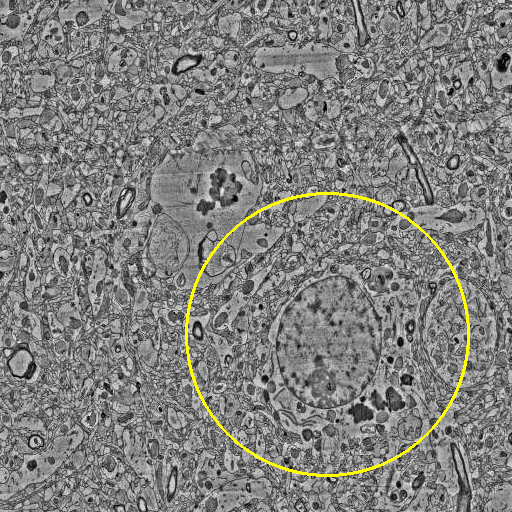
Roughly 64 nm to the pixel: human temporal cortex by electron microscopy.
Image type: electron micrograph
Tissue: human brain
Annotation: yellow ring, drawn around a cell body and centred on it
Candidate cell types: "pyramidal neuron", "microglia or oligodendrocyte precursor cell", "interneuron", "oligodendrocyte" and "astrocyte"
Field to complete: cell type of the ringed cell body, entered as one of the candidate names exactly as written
astrocyte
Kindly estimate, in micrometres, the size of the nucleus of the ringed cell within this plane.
The nucleus appears roughly 9 by 7 micrometres in this plane.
